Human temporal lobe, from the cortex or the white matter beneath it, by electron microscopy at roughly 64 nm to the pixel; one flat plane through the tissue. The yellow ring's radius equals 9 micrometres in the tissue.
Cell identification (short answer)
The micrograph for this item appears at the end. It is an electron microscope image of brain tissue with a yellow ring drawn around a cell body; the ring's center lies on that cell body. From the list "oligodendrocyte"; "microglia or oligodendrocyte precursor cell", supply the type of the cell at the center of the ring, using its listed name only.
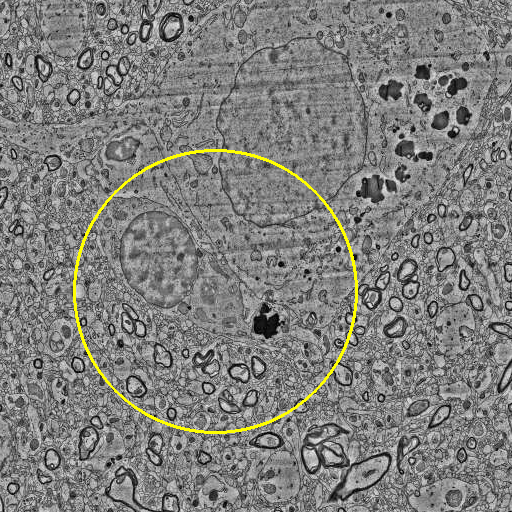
oligodendrocyte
